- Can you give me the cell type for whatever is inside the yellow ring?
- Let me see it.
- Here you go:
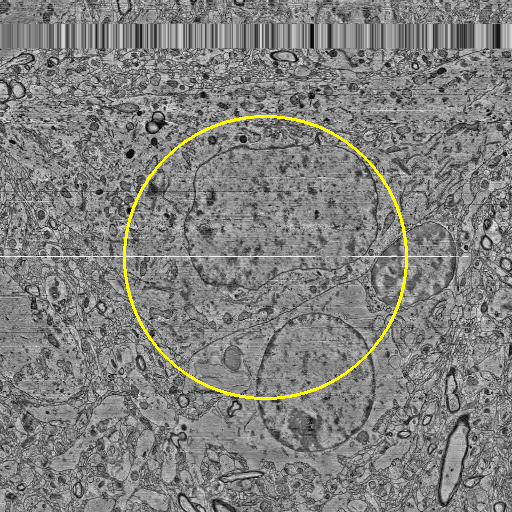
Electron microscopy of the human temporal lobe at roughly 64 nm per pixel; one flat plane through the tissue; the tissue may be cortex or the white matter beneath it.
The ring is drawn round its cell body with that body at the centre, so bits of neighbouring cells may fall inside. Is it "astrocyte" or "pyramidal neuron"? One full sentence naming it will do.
The cell body in the middle of the ring in this picture belongs to a pyramidal neuron.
